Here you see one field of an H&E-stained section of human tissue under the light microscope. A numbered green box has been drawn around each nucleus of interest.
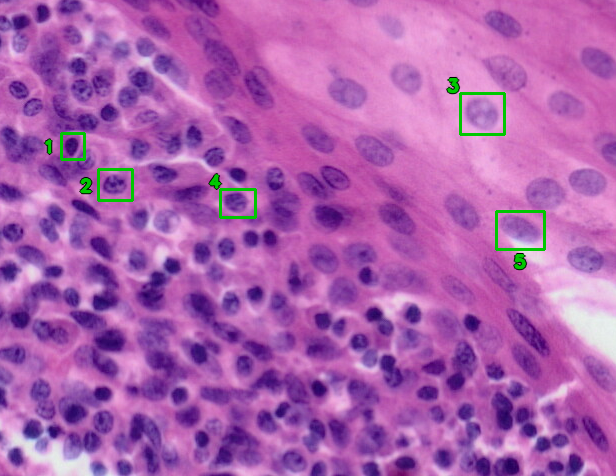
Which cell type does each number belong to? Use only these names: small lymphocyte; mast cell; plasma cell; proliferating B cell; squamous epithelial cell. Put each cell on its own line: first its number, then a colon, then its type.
1: plasma cell
2: plasma cell
3: squamous epithelial cell
4: plasma cell
5: squamous epithelial cell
